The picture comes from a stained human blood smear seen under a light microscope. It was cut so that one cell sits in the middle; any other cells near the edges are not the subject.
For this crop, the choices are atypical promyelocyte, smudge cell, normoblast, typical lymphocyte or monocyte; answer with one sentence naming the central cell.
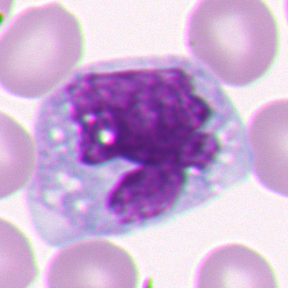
The cell at the centre of the field is a monocyte.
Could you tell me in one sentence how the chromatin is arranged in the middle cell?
Check the chromatin: it is fine and not coarsely clumped.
